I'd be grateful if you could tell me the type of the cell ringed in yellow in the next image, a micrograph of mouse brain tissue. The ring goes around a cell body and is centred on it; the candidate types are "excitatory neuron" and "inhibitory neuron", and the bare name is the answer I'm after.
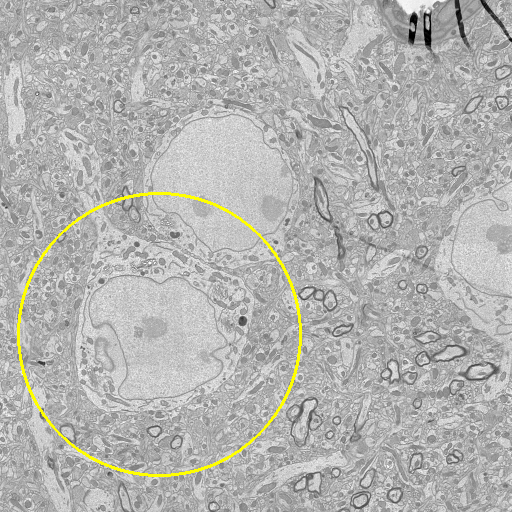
inhibitory neuron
